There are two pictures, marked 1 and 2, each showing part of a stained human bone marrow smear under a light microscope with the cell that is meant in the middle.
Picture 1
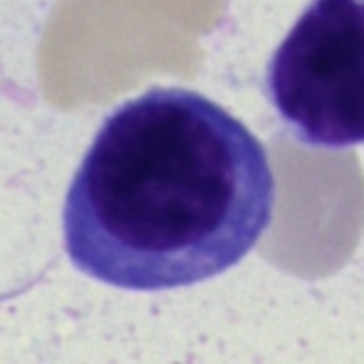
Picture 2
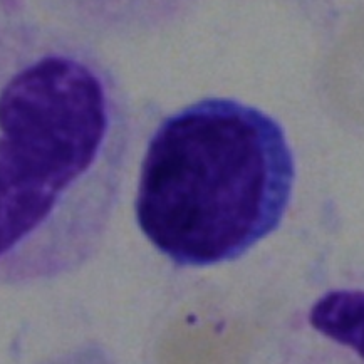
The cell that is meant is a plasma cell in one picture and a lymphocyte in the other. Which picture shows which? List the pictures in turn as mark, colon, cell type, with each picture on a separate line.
1: plasma cell
2: lymphocyte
